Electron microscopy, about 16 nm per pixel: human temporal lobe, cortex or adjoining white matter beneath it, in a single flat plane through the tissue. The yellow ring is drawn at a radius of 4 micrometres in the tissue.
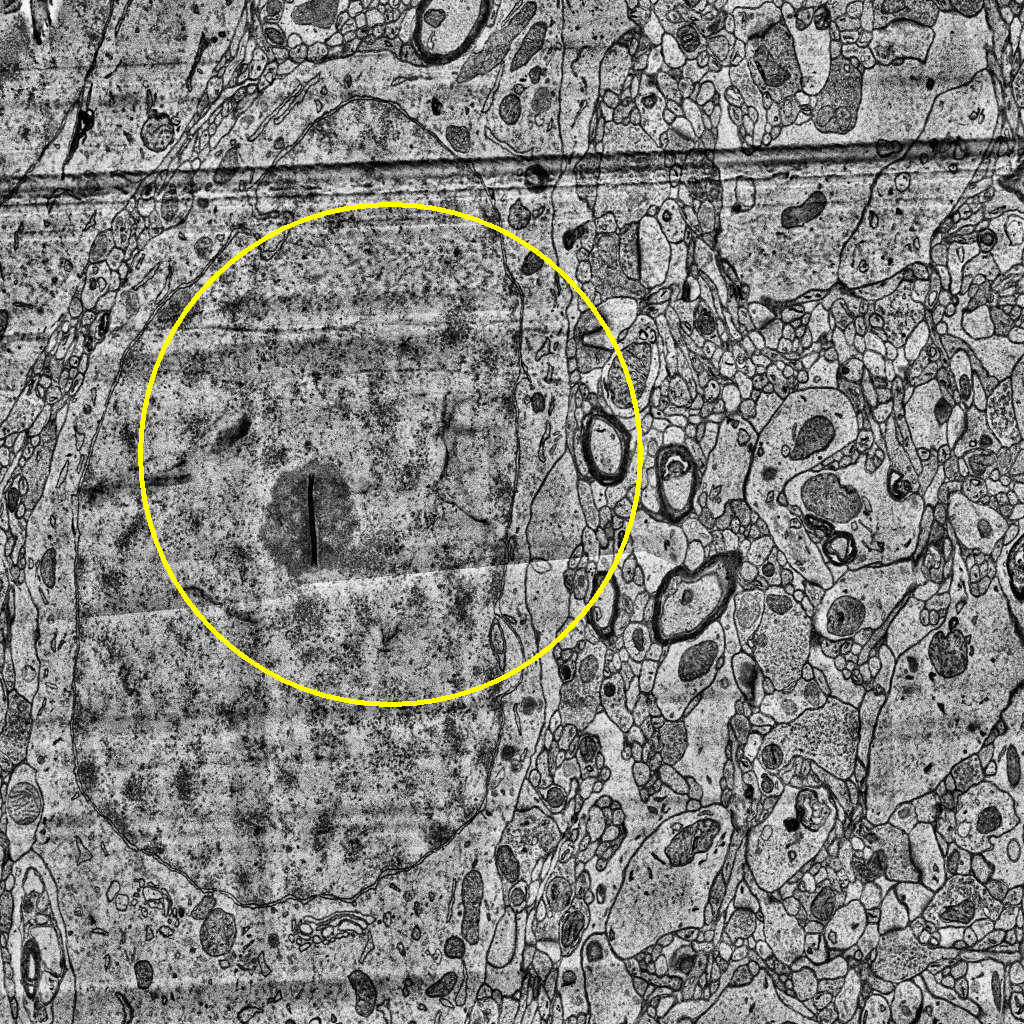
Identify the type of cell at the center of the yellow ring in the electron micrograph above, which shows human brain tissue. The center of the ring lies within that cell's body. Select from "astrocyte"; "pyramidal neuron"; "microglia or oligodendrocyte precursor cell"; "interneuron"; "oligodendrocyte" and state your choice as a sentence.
The center of the yellow ring lies in the body of an interneuron.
